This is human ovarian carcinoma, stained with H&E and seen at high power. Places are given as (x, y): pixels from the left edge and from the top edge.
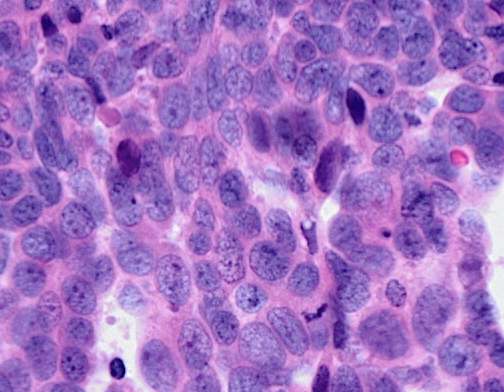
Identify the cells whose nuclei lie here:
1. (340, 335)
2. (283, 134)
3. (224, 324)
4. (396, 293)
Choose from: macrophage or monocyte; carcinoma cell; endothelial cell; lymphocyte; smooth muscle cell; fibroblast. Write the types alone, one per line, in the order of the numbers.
carcinoma cell
carcinoma cell
carcinoma cell
macrophage or monocyte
